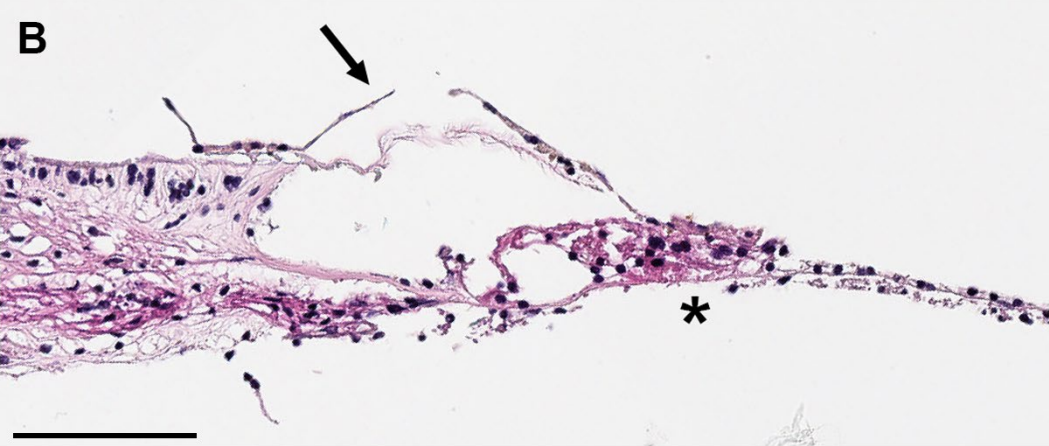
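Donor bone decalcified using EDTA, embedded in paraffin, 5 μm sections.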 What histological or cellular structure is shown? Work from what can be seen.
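Organ of Corti. A thin cellular ridge on a membranous sheet with a pale strand overhanging it. Cell clusters with dark nuclei sit on the sheet beside a clear space.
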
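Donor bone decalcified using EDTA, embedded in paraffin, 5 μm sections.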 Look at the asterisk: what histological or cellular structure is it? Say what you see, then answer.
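Basilar membrane. The asterisk lies under a thin sheet with a row of small dark nuclei, running to the right. A cluster of cells sits on top of this sheet.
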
